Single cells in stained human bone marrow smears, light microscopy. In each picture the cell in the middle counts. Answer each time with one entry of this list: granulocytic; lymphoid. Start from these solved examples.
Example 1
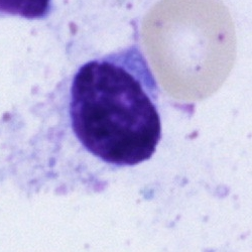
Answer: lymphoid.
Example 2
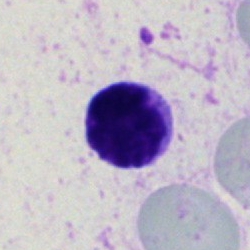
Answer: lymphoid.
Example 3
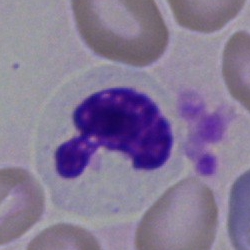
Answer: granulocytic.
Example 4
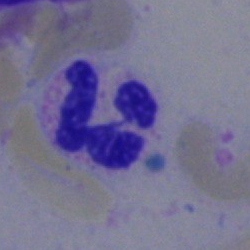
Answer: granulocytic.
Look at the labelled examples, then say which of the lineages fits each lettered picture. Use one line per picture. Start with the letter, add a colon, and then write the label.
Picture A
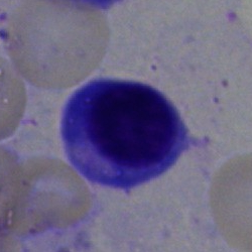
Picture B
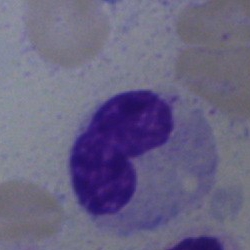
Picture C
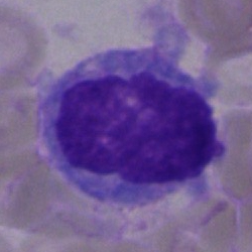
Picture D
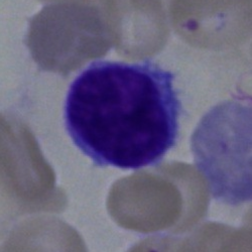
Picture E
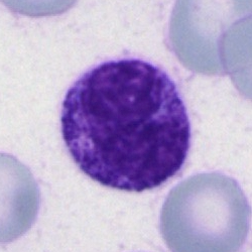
A: lymphoid.
B: granulocytic.
C: granulocytic.
D: lymphoid.
E: granulocytic.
